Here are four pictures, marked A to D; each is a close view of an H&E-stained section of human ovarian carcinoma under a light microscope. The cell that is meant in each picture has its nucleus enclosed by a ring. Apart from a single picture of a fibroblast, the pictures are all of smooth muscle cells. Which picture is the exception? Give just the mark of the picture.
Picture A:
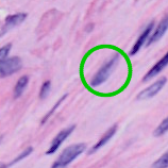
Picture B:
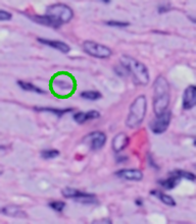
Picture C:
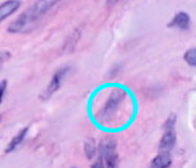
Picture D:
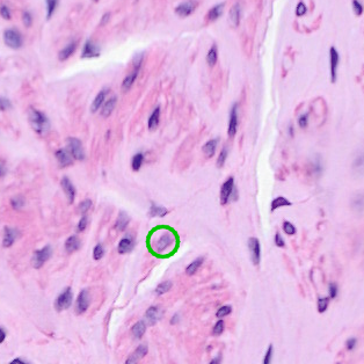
B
